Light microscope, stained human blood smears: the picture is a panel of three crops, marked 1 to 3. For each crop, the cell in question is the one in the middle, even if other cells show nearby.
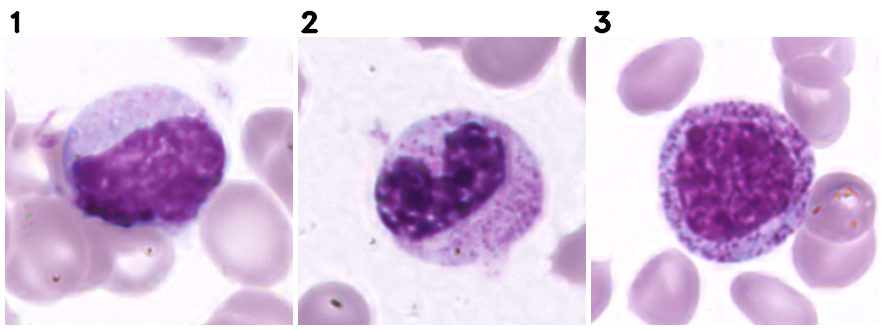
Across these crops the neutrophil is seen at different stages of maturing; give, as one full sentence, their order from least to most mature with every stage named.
In sequence of increasing maturity, the order is crop 3 (a myelocyte), crop 1 (a metamyelocyte) and crop 2 (a band neutrophil).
